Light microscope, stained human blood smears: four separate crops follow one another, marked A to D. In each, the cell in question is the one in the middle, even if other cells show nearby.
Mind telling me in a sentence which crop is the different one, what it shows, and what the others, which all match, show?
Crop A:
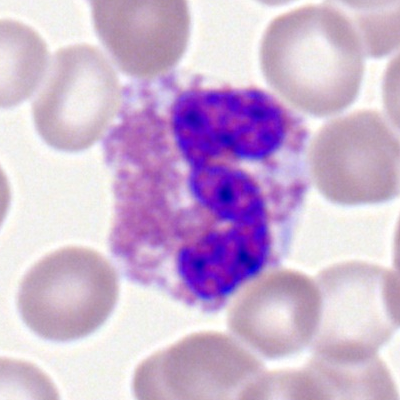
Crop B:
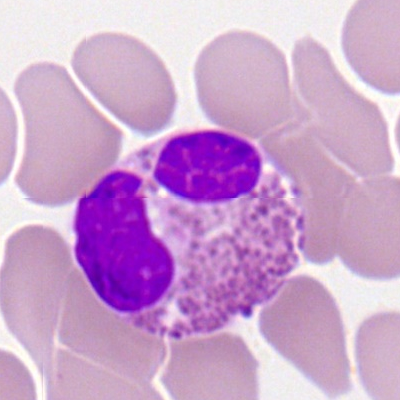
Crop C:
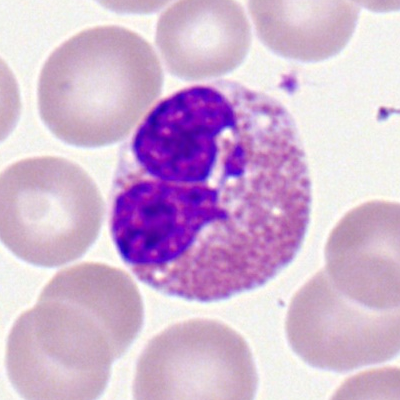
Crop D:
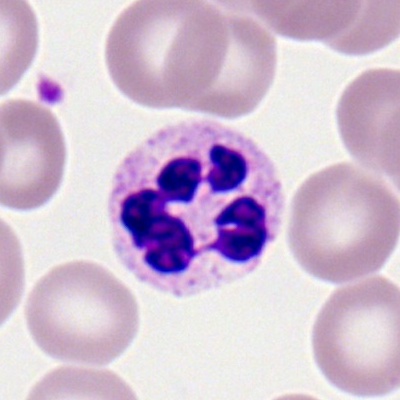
The cells centred in the other crops are all eosinophils, but crop D is a neutrophil.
